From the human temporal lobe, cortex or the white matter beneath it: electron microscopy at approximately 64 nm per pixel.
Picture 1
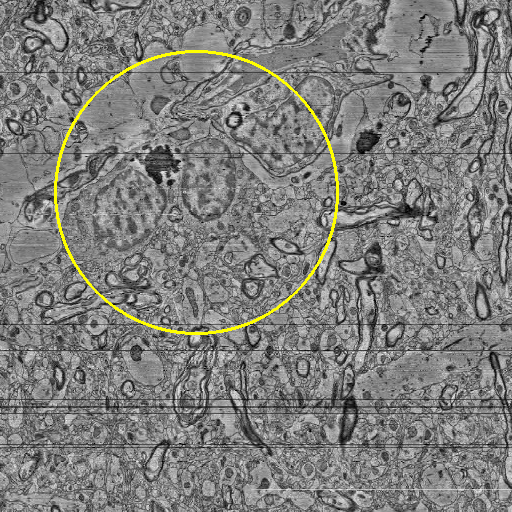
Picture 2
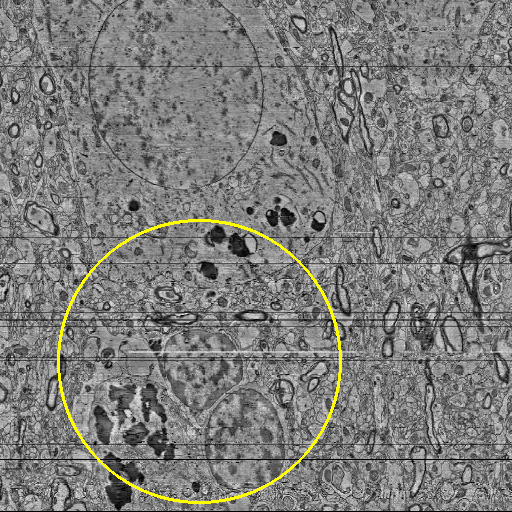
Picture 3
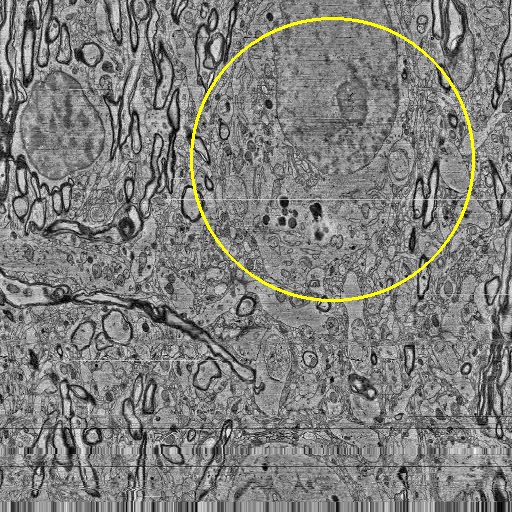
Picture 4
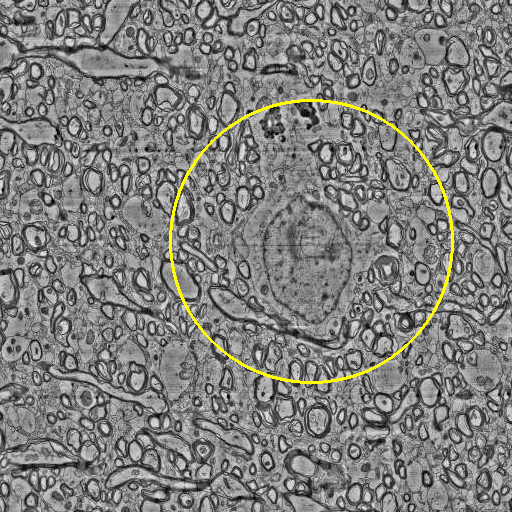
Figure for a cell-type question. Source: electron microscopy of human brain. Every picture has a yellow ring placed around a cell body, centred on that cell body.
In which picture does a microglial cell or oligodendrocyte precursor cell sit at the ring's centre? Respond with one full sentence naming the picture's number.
The cell in the middle of the ring in picture 2 is the one sought.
